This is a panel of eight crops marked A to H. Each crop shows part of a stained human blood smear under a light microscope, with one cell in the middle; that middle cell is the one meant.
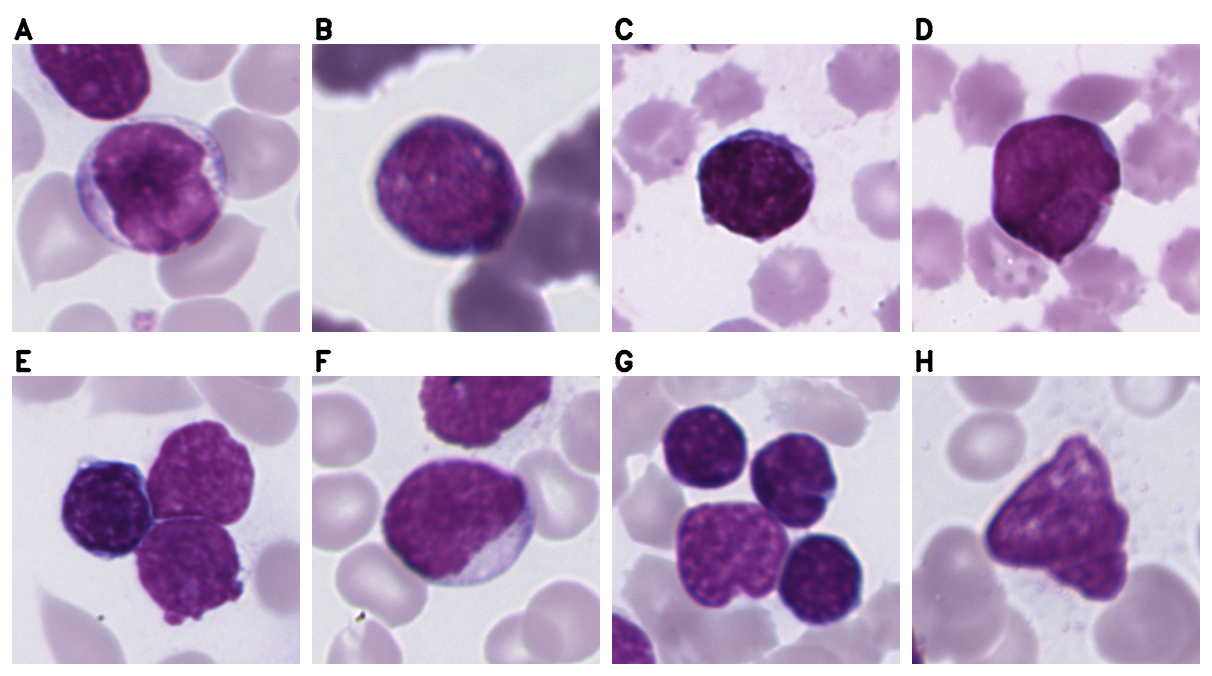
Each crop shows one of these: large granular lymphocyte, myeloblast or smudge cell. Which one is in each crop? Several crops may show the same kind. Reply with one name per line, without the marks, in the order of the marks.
large granular lymphocyte
myeloblast
myeloblast
myeloblast
myeloblast
large granular lymphocyte
myeloblast
smudge cell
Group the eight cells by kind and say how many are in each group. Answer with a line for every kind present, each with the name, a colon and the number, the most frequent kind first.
myeloblast: 5
large granular lymphocyte: 2
smudge cell: 1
